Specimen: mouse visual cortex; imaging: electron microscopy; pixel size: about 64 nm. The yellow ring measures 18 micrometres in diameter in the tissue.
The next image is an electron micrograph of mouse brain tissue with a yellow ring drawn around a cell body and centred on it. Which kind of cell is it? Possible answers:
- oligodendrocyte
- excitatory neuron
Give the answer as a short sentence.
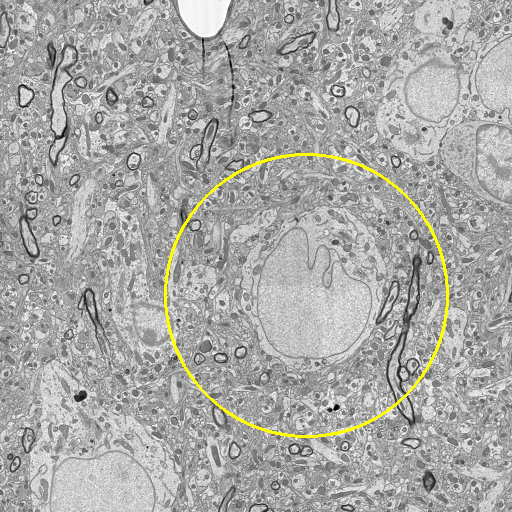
In the ring's centre is an excitatory neuron.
